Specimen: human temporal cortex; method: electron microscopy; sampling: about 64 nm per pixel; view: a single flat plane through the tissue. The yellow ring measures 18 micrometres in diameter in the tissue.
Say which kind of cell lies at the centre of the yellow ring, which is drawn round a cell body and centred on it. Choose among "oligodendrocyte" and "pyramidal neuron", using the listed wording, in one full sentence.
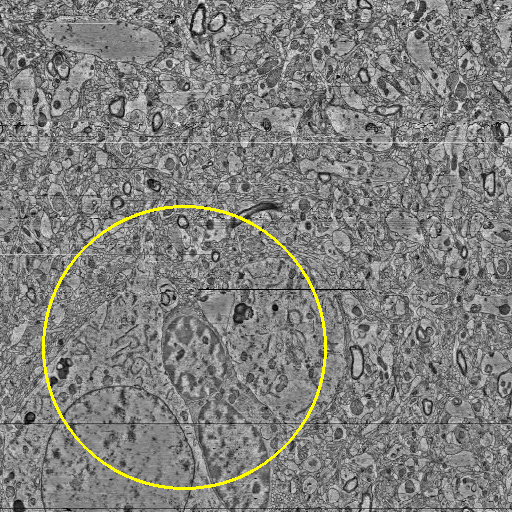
Going by the list, the cell at the yellow ring's centre is an oligodendrocyte.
